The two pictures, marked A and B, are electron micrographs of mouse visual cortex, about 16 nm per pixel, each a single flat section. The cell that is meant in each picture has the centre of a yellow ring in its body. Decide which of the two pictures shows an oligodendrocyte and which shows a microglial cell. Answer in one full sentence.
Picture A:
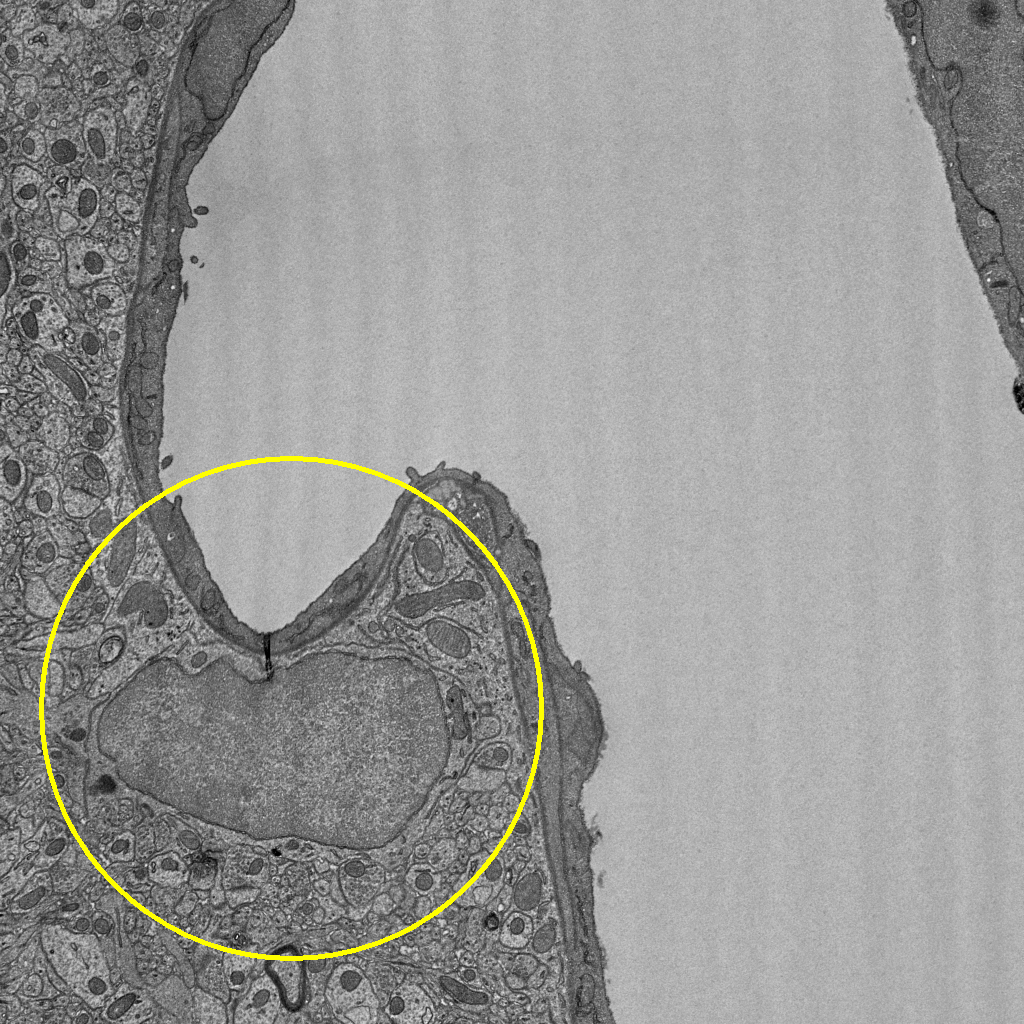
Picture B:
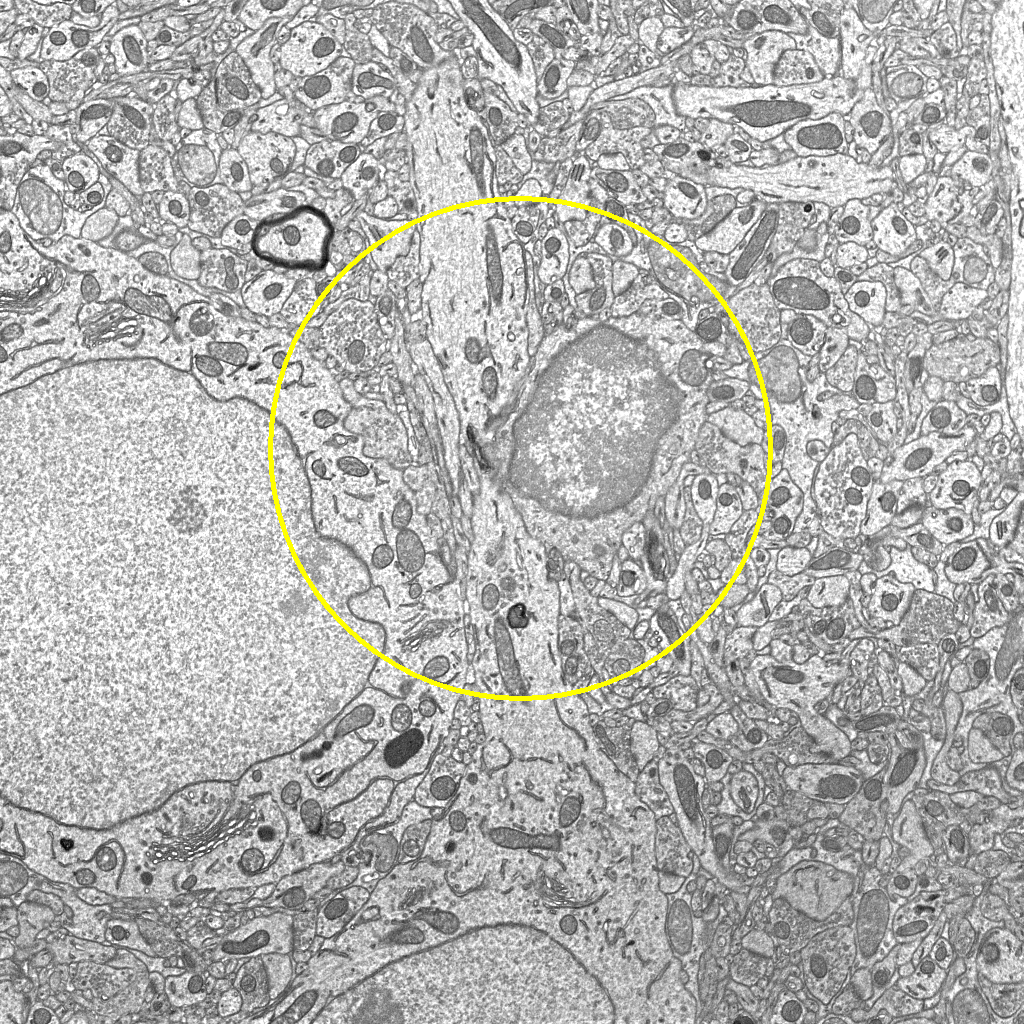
Picture A shows a microglial cell and picture B shows an oligodendrocyte.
